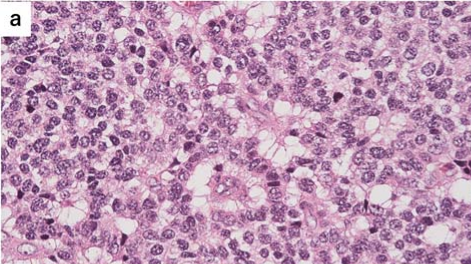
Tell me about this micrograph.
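This shows a solid lesion of small atypical cells packed in continuous sheets, with only delicate pink strands between them and no glands. The cells have scant, pale pink cytoplasm and crowded round to oval nuclei that vary in size. The chromatin is granular, and some nuclei show small nucleoli. Scattered nuclei are dark and shrunken. Small clear, empty-looking spaces and vacuoles are scattered among the cells. These give parts of the sheet a loose, bubbly look. The high ratio of nucleus to cytoplasm and the variation among the nuclei mark the cells as atypical.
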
